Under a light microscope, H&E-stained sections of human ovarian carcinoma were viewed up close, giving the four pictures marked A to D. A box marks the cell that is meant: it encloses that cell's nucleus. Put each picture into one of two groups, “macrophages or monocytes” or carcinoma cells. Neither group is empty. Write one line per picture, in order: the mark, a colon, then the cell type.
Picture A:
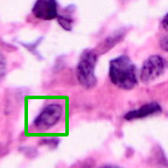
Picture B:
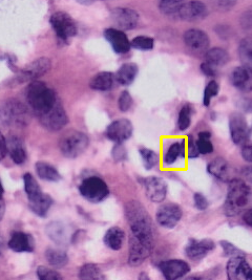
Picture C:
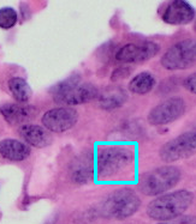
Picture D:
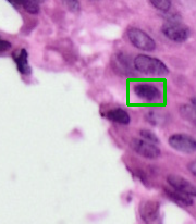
A: macrophage or monocyte
B: carcinoma cell
C: carcinoma cell
D: carcinoma cell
